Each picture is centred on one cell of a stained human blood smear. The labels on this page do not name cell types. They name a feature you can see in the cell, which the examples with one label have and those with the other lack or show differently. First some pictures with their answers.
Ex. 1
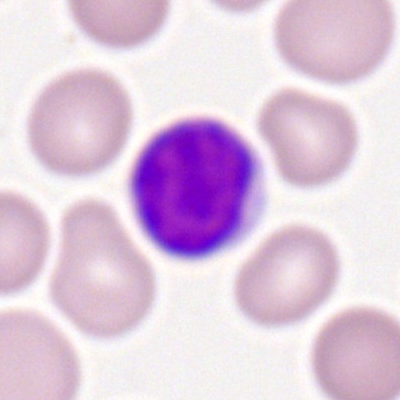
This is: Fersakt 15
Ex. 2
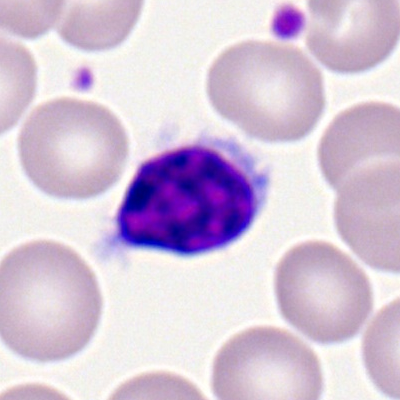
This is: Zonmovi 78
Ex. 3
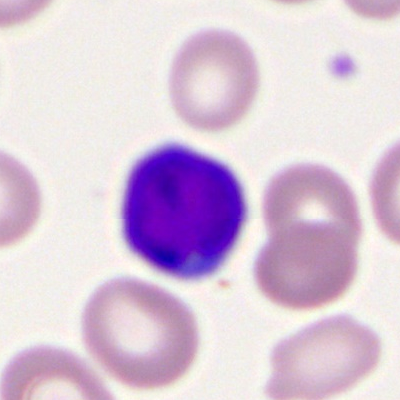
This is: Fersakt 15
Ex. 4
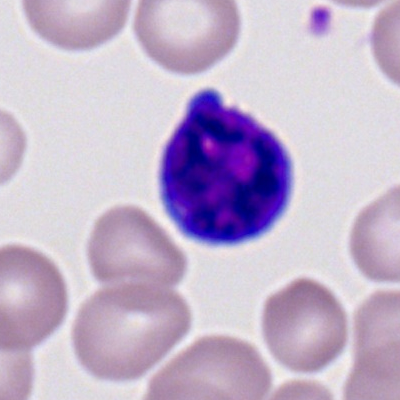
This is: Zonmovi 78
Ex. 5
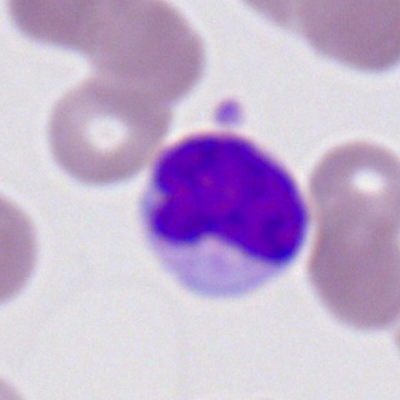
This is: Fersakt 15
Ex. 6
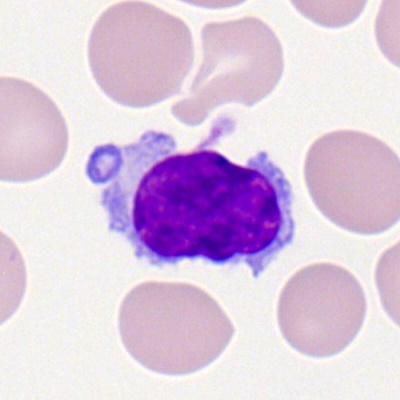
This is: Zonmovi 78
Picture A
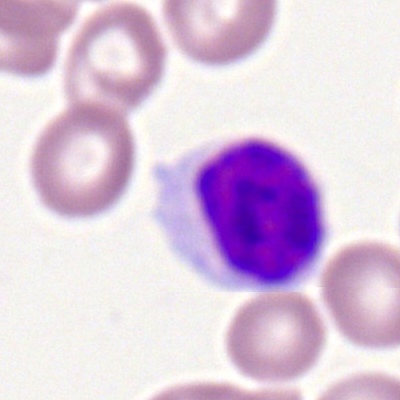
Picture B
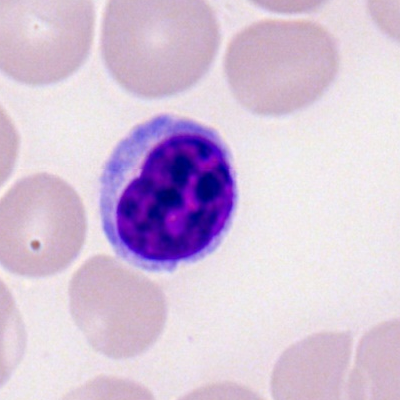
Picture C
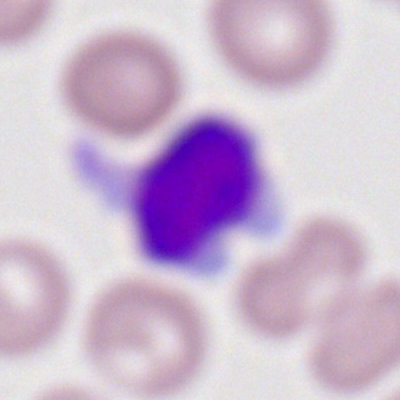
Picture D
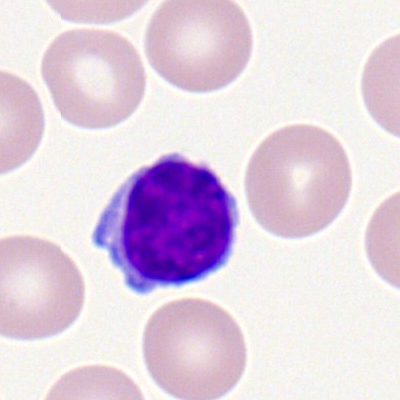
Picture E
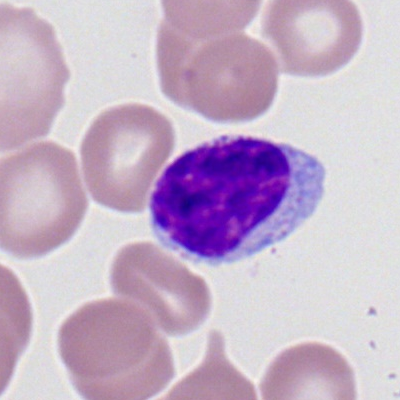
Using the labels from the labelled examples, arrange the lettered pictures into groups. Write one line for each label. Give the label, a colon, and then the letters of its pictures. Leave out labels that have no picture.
Fersakt 15: B, E
Zonmovi 78: A, C, D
